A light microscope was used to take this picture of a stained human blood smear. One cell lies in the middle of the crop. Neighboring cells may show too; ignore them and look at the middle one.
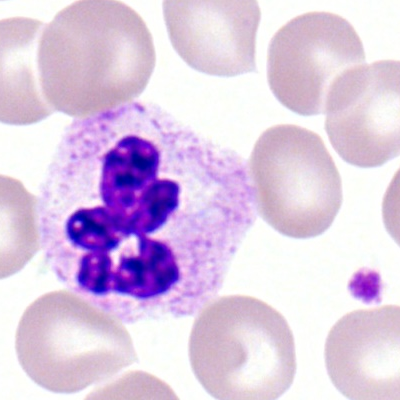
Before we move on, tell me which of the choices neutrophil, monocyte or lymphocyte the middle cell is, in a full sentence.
The crop shows a neutrophil in its centre.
